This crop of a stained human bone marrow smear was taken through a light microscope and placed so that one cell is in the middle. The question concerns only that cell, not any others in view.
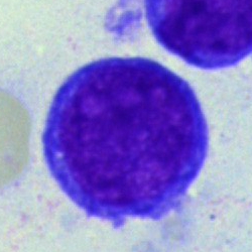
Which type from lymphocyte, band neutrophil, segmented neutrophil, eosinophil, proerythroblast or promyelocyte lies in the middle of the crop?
proerythroblast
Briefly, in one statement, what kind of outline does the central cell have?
Seen at its edge, the cell is not smooth but ragged or projecting.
